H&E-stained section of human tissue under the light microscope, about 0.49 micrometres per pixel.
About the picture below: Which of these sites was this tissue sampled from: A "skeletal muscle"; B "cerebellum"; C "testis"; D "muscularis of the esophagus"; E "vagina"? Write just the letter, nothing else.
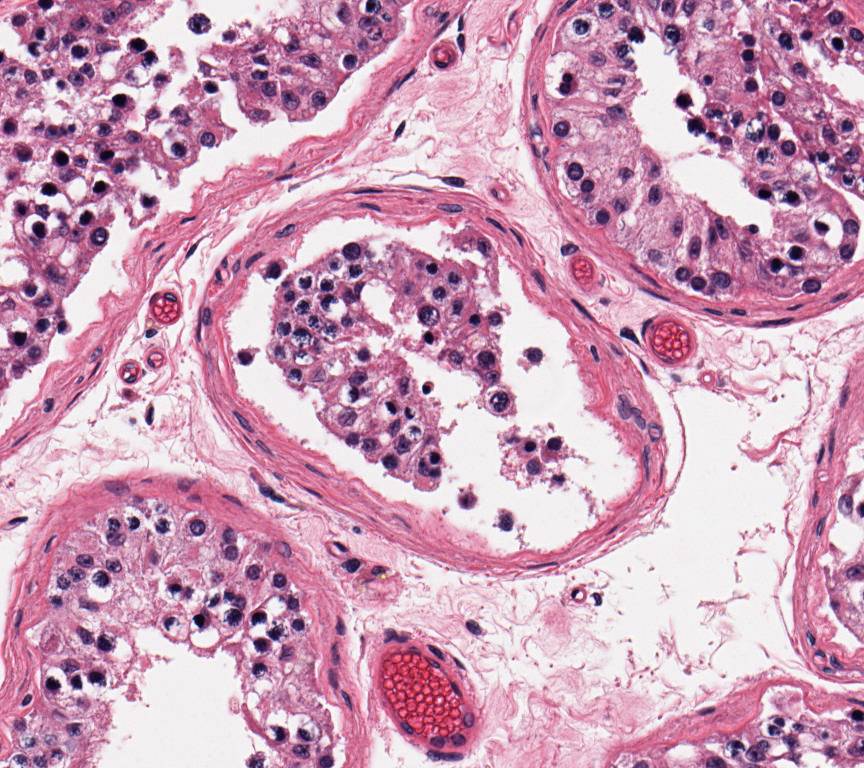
C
